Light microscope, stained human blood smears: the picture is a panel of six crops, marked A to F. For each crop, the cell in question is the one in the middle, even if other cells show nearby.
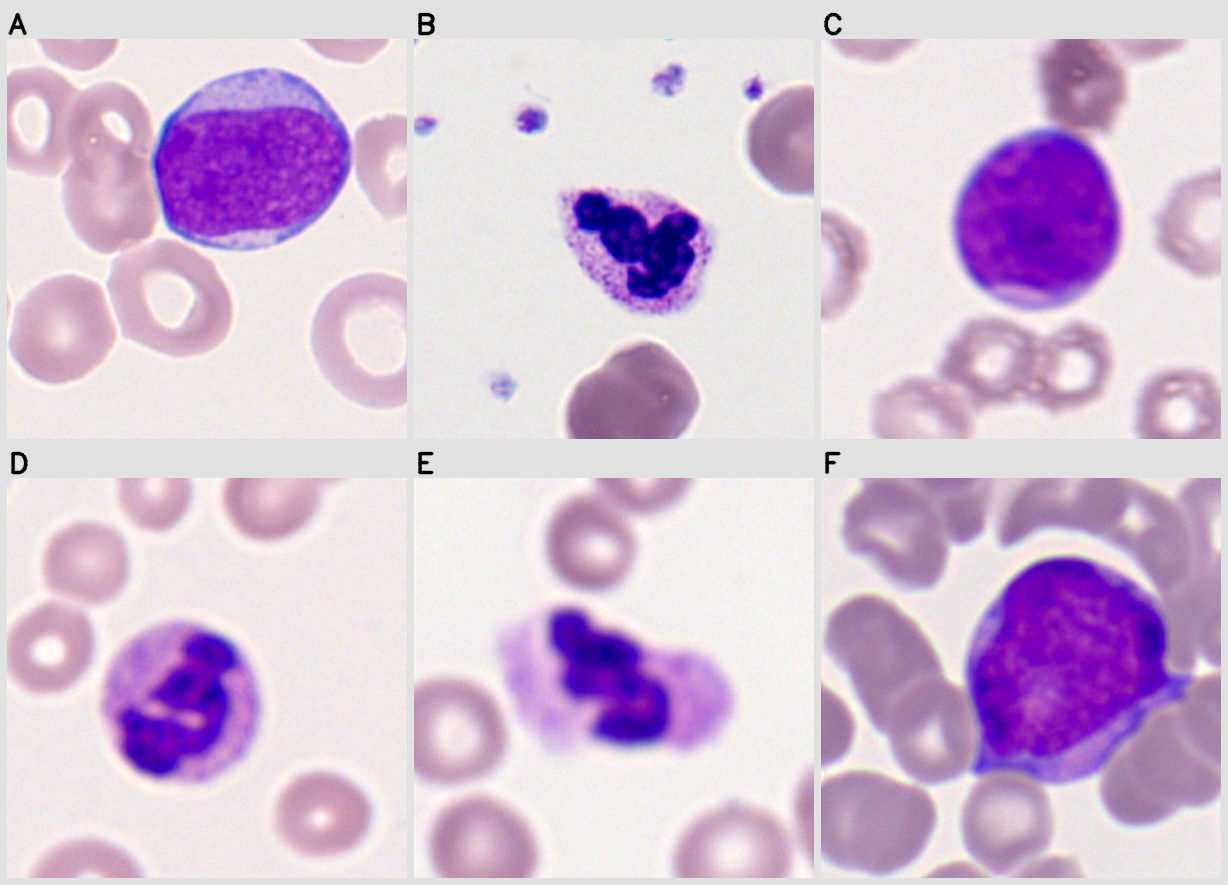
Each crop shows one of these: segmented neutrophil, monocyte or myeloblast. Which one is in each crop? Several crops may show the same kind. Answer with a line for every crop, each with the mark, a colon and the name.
A: myeloblast
B: segmented neutrophil
C: myeloblast
D: segmented neutrophil
E: segmented neutrophil
F: myeloblast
